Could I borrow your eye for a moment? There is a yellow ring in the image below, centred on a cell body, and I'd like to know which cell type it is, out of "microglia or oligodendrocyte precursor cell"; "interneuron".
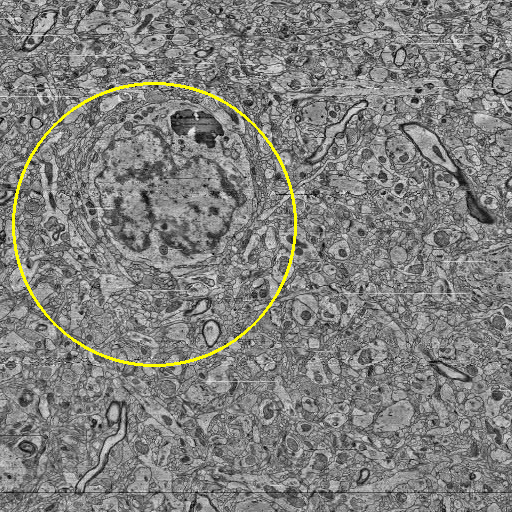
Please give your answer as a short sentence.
The cell body at the centre is that of an interneuron.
